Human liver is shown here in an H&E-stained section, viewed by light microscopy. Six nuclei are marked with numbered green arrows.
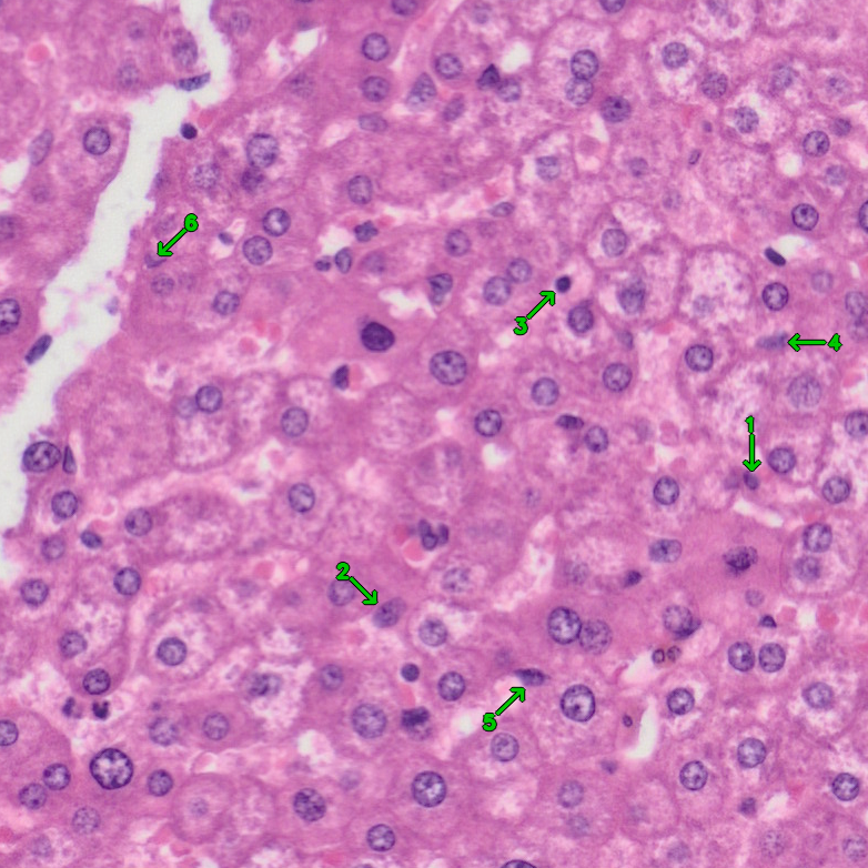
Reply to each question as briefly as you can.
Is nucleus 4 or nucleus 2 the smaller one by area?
4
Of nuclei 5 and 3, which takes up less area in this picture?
3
